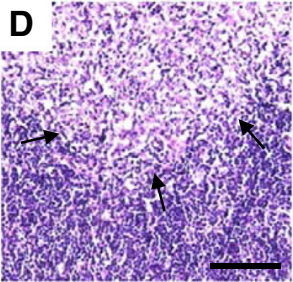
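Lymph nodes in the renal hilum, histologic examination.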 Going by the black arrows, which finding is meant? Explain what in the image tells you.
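Metastasis. A paler area of larger loosely arranged cells lies above densely packed small dark-staining cells. The arrows point into the paler area.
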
